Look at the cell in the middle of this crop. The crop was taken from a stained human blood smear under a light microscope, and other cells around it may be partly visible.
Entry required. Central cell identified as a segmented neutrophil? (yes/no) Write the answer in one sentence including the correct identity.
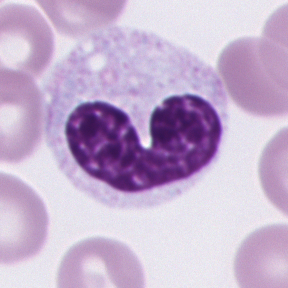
No, the centrally located cell is a band neutrophil rather than a segmented neutrophil.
